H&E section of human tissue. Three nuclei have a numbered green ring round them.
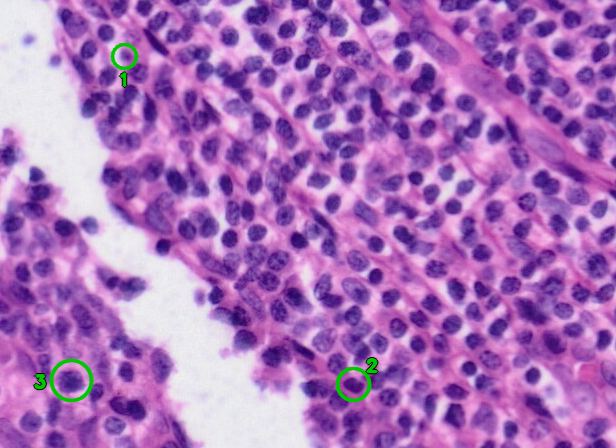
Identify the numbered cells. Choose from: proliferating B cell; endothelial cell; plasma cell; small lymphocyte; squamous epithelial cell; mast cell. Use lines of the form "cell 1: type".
cell 1: plasma cell
cell 2: plasma cell
cell 3: proliferating B cell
